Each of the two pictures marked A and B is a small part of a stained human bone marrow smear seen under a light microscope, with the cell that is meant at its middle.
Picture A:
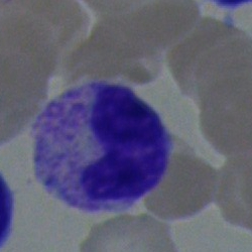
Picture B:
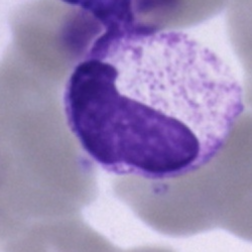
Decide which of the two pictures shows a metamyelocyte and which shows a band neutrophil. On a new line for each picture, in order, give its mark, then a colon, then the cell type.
A: metamyelocyte
B: band neutrophil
